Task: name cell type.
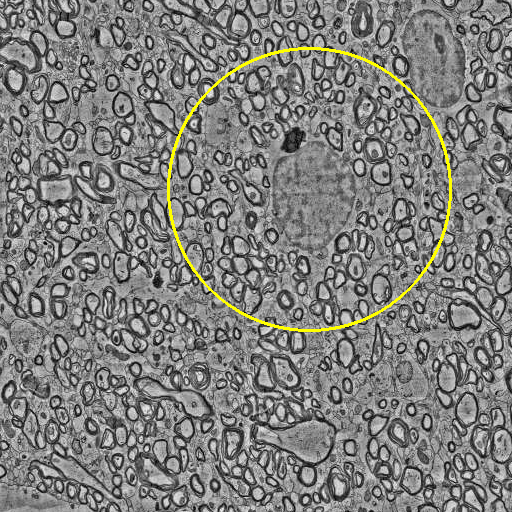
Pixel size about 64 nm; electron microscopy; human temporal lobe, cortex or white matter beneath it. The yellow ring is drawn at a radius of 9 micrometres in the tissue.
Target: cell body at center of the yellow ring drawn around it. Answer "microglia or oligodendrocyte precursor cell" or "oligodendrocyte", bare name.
oligodendrocyte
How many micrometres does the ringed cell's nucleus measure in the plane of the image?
The nucleus has a long axis of about 7 micrometres and a short axis of about 5 micrometres in this plane.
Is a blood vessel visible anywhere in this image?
No, there is none.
